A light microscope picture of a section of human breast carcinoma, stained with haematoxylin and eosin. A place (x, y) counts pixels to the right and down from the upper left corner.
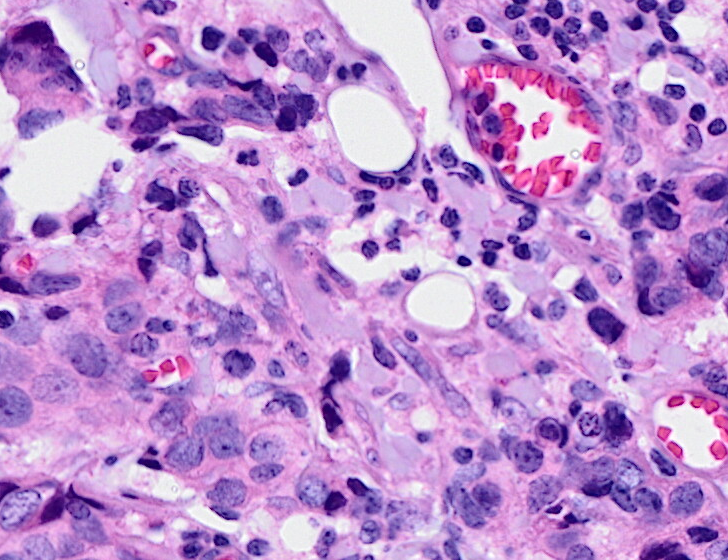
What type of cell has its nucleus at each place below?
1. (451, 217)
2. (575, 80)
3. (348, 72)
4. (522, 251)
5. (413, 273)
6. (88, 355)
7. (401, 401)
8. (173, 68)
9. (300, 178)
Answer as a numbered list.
1. lymphocyte
2. endothelial cell
3. lymphocyte
4. lymphocyte
5. lymphocyte
6. carcinoma cell
7. macrophage, monocyte or dendritic cell
8. endothelial cell
9. lymphocyte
